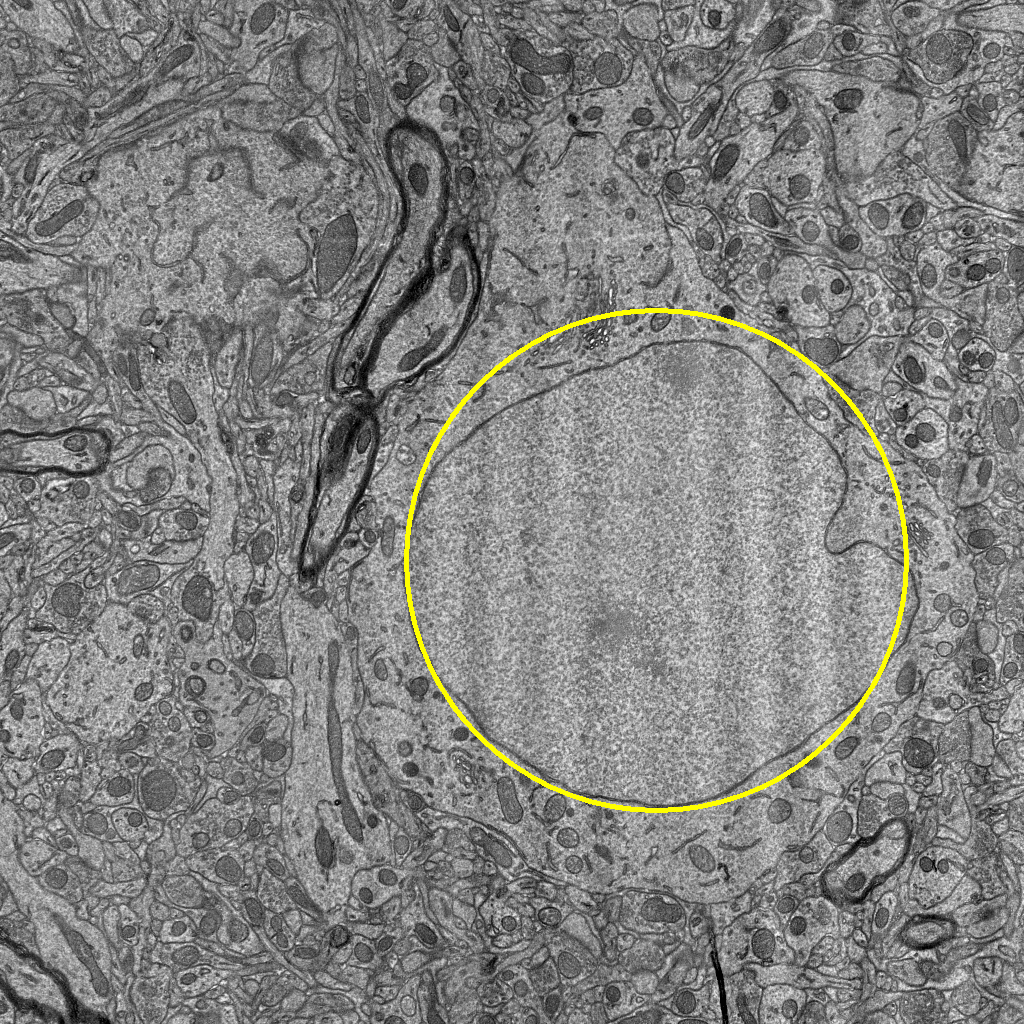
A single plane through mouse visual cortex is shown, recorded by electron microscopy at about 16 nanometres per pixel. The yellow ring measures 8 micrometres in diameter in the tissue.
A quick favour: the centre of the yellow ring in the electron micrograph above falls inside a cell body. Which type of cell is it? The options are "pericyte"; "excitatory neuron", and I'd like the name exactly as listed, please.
excitatory neuron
